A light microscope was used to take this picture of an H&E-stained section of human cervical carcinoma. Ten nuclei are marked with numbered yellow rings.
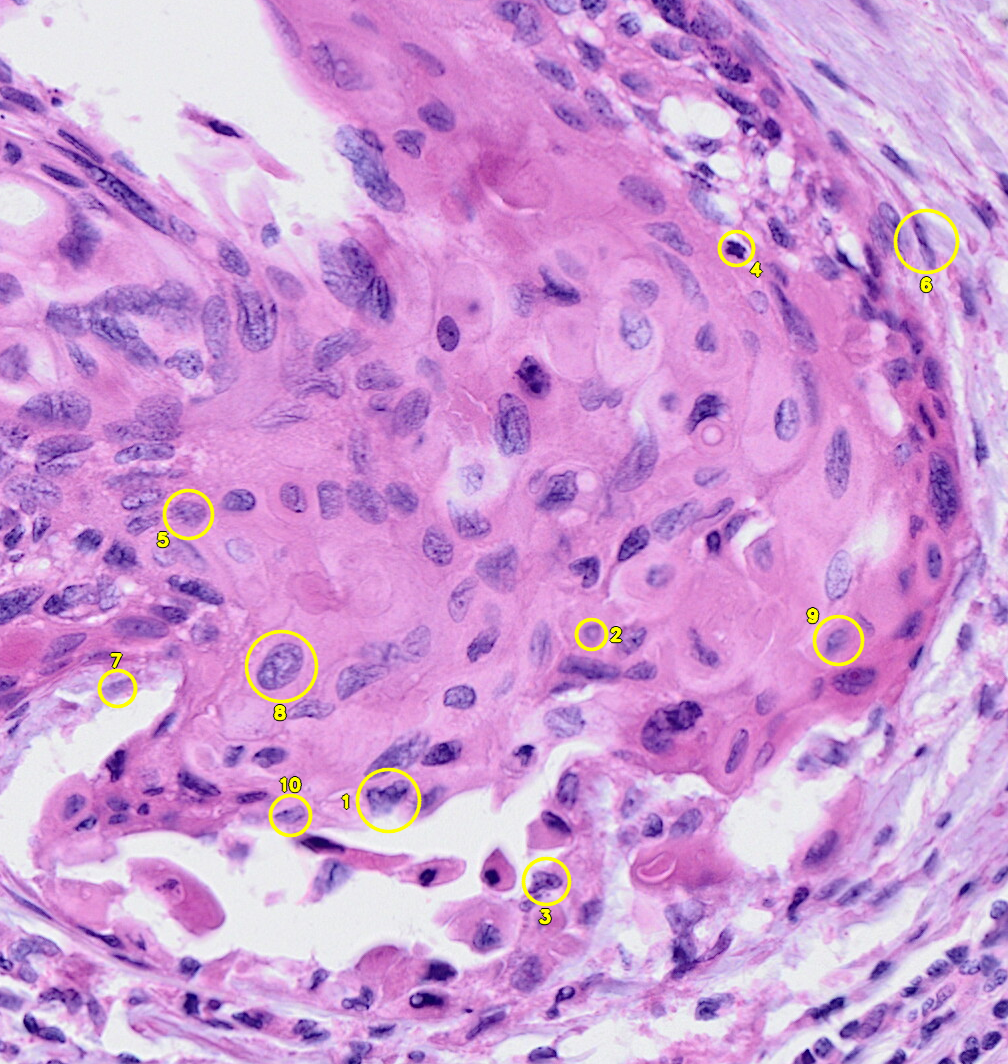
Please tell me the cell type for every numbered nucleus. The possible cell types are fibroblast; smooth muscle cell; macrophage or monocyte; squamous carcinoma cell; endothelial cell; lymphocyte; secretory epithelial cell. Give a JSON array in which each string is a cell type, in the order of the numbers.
["squamous carcinoma cell", "squamous carcinoma cell", "macrophage or monocyte", "lymphocyte", "squamous carcinoma cell", "fibroblast", "fibroblast", "squamous carcinoma cell", "squamous carcinoma cell", "squamous carcinoma cell"]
